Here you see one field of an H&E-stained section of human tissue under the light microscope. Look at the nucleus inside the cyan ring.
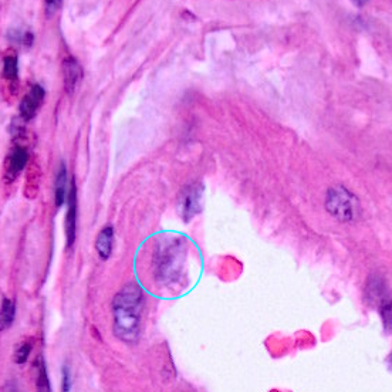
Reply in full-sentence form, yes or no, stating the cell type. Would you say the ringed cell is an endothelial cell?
Yes, the ringed cell corresponds to an endothelial cell in this tissue.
